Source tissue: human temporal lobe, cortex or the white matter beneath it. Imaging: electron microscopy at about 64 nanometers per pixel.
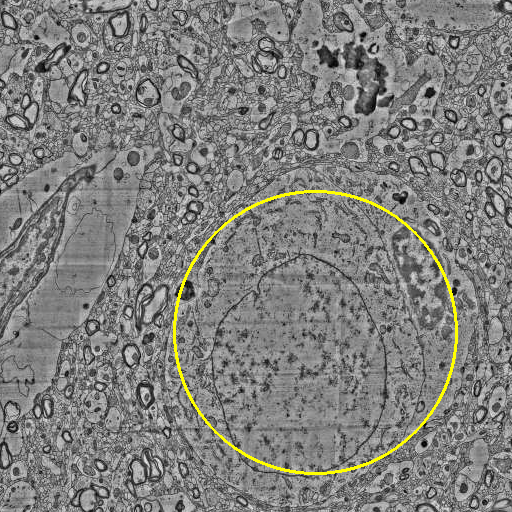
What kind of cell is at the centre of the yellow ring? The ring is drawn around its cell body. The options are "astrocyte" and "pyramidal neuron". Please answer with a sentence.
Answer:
The yellow ring marks the cell body of a pyramidal neuron.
